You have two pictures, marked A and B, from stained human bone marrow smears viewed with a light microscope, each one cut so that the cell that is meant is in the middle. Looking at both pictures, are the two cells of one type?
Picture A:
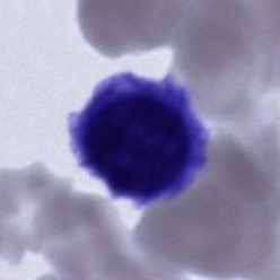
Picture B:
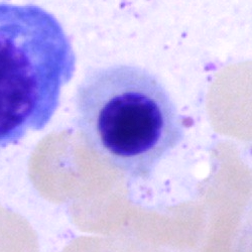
yes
